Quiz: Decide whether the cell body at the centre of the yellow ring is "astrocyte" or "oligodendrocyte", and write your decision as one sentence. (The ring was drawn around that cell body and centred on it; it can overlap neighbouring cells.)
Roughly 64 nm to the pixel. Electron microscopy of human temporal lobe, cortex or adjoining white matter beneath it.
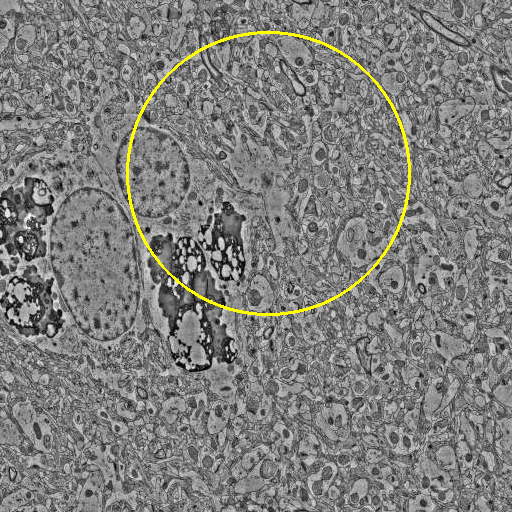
The cell the ring is centred on is an astrocyte.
